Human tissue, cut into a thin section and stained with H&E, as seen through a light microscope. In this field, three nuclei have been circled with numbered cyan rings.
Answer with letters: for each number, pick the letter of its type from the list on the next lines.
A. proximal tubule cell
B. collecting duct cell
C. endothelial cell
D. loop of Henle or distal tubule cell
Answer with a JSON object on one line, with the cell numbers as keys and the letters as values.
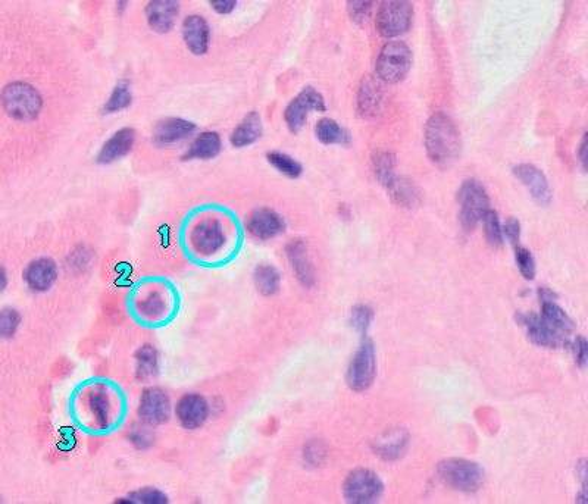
{"1": "D", "2": "D", "3": "C"}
